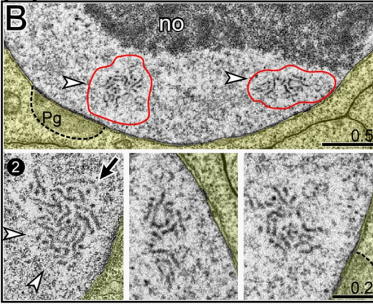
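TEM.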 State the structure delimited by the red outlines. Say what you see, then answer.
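Clusters of electron-dense fibrils. Each red outline encloses a group of short dark thread-like profiles. The groups lie in the nucleoplasm near the nuclear edge.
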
